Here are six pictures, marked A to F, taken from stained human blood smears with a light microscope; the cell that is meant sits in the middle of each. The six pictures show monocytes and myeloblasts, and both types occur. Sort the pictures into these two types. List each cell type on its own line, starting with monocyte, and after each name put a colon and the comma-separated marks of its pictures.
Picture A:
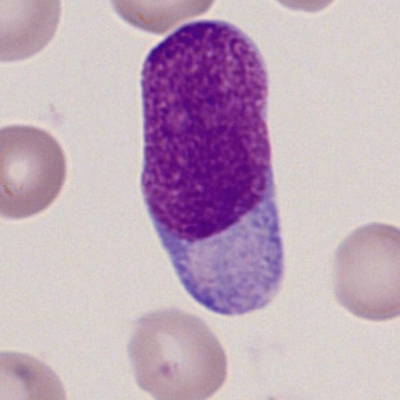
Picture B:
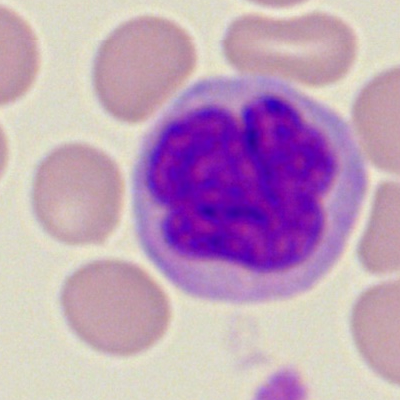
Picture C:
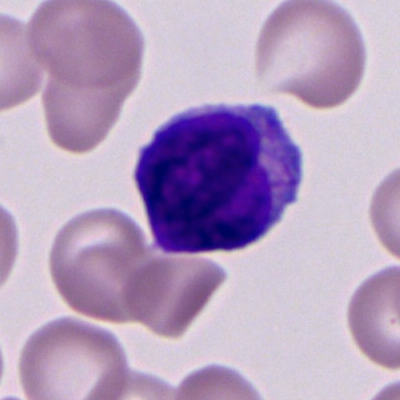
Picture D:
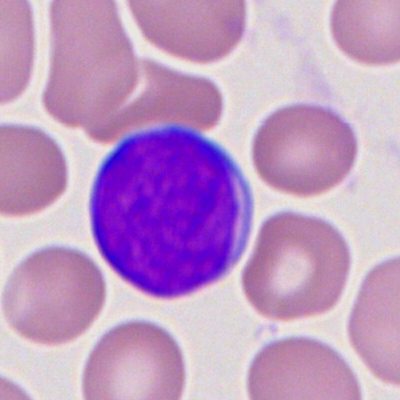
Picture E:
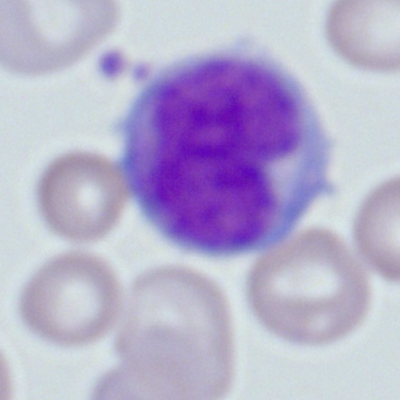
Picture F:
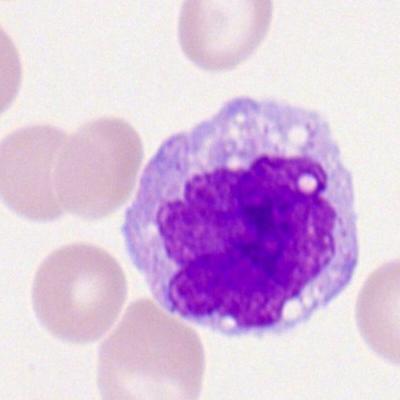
monocyte: B, E, F
myeloblast: A, C, D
